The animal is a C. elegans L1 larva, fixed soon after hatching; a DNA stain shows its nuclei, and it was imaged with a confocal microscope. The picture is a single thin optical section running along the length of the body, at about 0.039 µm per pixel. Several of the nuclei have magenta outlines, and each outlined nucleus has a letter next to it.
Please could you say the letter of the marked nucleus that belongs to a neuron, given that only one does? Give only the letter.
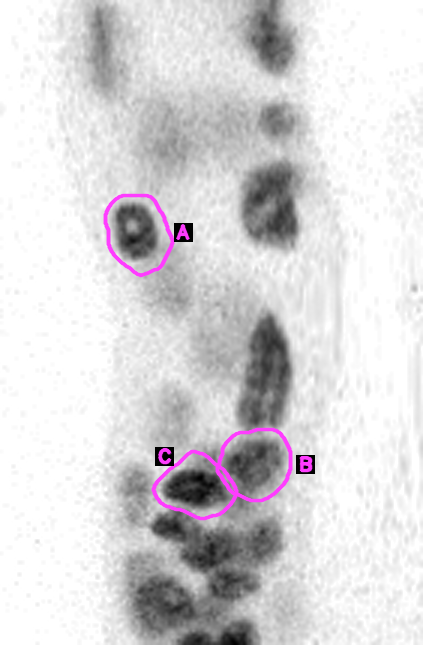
B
